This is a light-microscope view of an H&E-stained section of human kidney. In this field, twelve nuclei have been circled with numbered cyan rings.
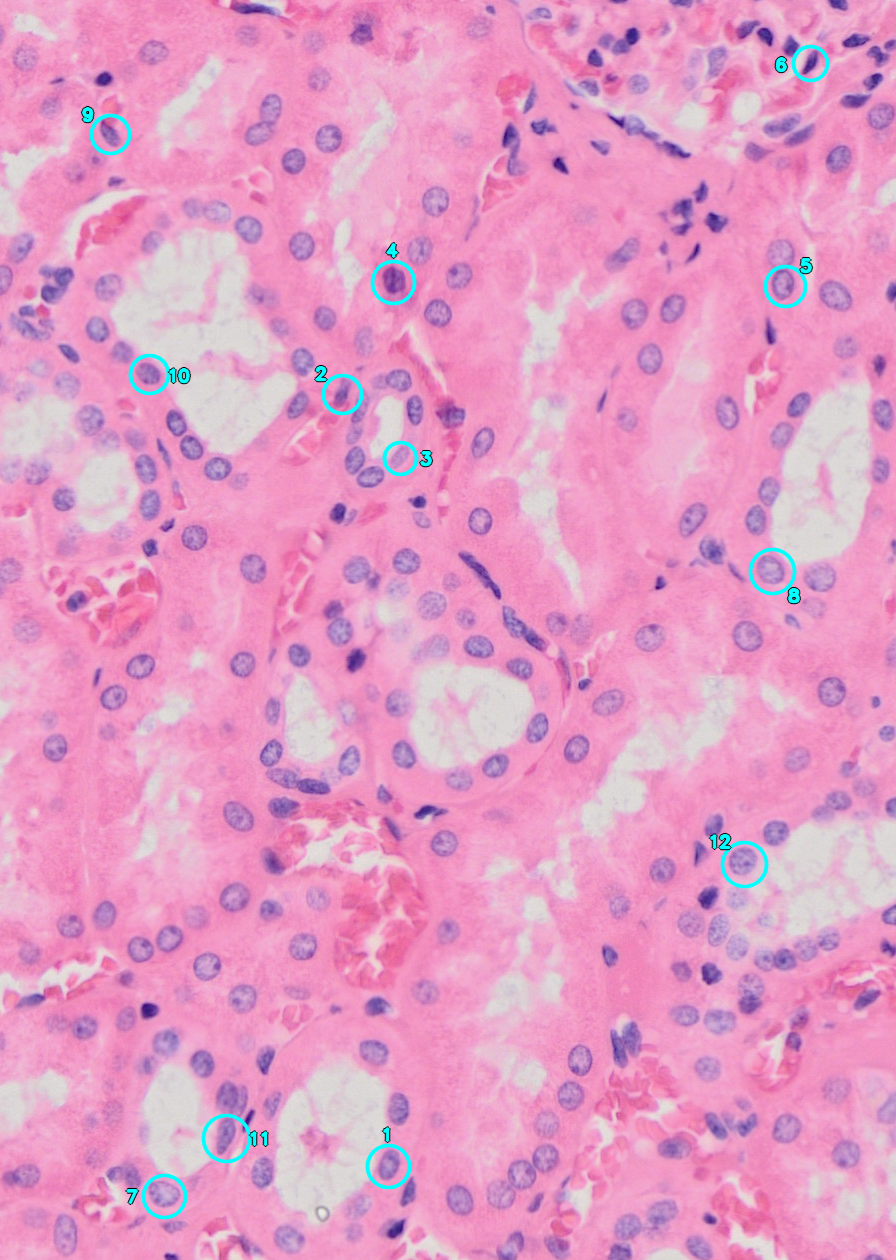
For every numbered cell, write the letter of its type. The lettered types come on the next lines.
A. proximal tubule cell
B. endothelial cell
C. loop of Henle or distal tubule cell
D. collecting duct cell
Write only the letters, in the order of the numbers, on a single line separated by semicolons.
C; B; D; A; A; B; D; C; B; C; D; C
